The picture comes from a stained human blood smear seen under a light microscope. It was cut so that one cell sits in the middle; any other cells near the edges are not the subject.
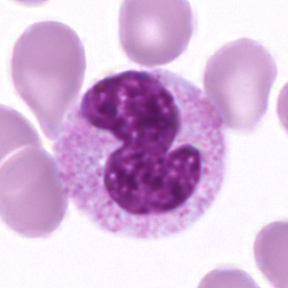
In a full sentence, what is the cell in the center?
What the crop centres on is a band neutrophil.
